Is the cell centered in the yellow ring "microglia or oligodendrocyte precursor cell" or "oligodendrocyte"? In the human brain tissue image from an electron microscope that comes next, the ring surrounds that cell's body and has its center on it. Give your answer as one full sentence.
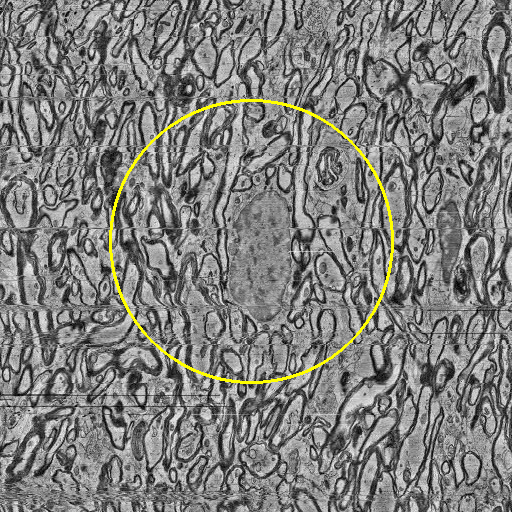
The cell at the center of the yellow ring is an oligodendrocyte in the micrograph.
